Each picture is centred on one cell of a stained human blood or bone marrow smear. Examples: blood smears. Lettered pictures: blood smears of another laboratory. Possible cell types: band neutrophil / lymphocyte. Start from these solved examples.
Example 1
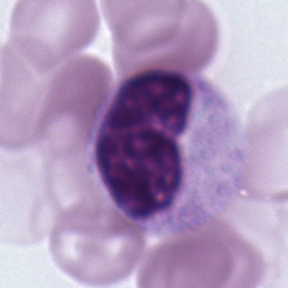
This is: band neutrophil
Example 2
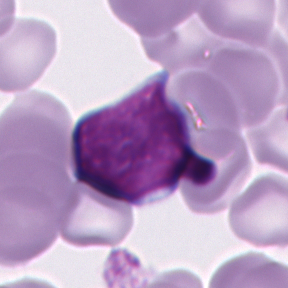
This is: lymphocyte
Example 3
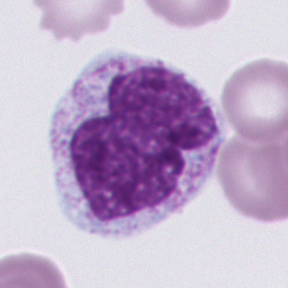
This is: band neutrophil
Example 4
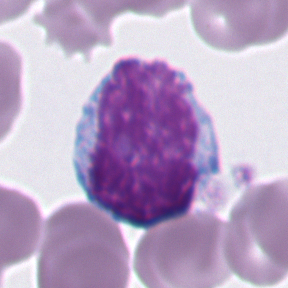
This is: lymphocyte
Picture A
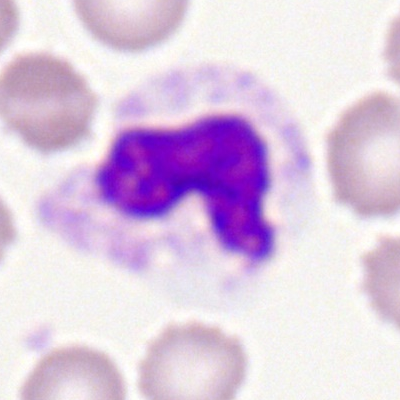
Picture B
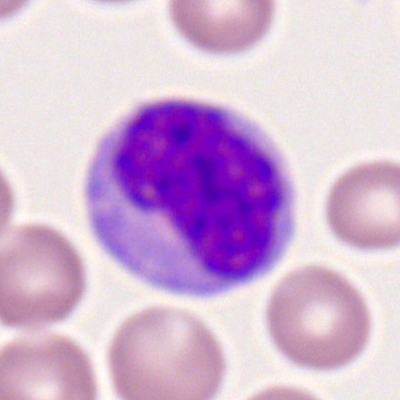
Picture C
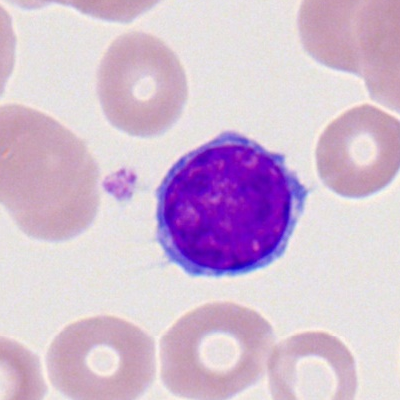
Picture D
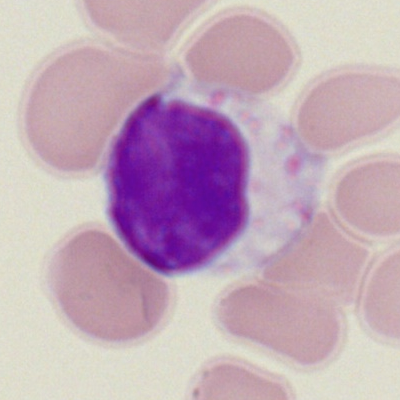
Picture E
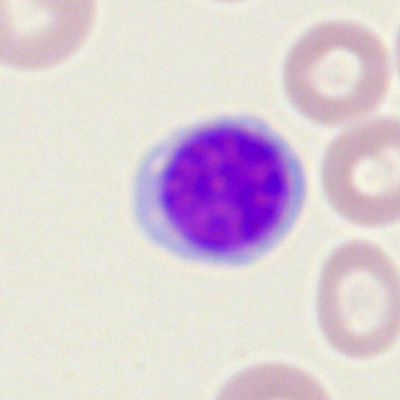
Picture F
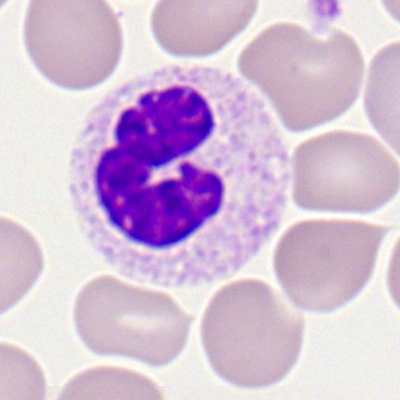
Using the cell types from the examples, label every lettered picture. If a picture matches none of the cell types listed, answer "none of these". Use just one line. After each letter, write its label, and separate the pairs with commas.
A band neutrophil, B none of these, C lymphocyte, D lymphocyte, E lymphocyte, F band neutrophil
